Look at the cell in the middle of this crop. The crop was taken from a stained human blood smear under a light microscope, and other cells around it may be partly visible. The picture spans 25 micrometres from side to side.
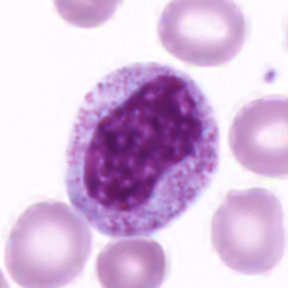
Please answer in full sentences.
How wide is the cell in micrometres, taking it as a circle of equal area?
Taken as a circle, the cell has a diameter of about 14 micrometres.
